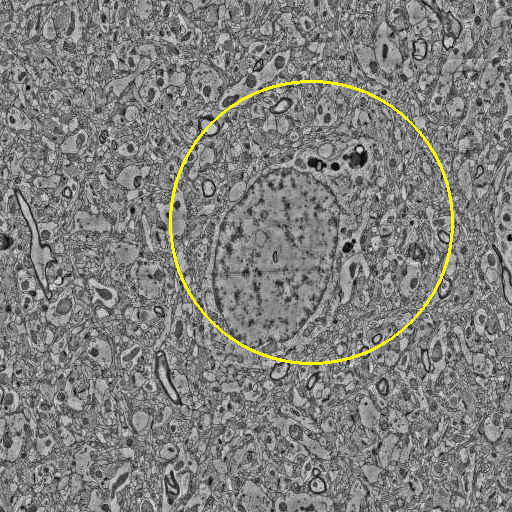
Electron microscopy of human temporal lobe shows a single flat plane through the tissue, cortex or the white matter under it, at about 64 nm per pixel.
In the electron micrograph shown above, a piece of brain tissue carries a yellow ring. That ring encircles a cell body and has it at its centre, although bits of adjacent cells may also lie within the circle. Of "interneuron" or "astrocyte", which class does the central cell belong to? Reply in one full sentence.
The cell body at the centre of the yellow ring belongs to an interneuron.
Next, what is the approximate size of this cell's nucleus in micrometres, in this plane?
Roughly 12 micrometres by 8 micrometres, in this plane.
